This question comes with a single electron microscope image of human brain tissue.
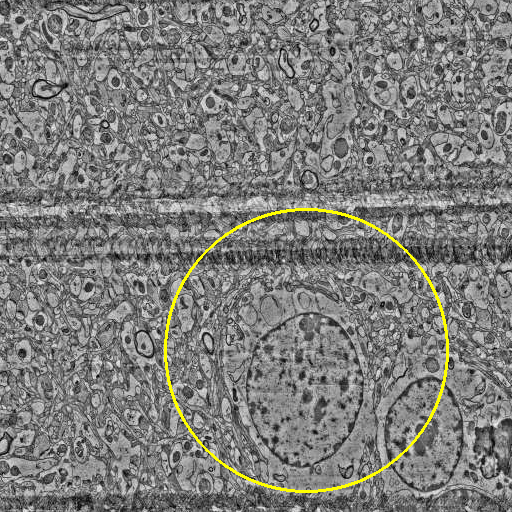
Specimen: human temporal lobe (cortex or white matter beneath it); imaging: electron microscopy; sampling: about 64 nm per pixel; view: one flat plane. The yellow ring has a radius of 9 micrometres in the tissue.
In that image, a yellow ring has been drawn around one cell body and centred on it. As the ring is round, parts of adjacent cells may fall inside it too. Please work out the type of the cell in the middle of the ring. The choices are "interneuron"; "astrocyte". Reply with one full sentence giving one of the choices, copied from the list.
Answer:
Of the choices, an astrocyte is the cell sitting in the middle of the ring.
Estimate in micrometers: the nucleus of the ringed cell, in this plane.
The nucleus measures about 10 by 7 micrometres in this plane.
